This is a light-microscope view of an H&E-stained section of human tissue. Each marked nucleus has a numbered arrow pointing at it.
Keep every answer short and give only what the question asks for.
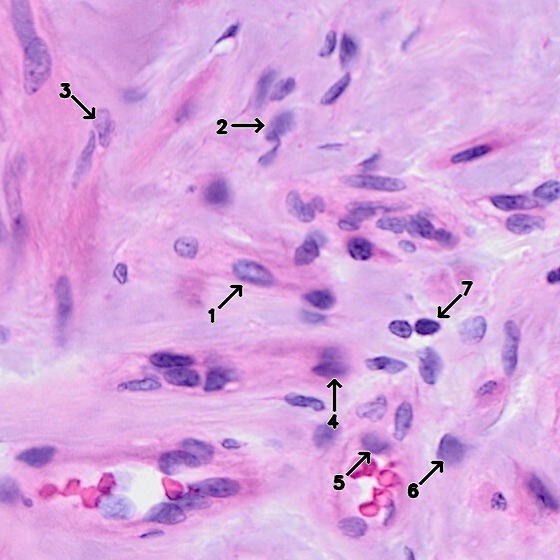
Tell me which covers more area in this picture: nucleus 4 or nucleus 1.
1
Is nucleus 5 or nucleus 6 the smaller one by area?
5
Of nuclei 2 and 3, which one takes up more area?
2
